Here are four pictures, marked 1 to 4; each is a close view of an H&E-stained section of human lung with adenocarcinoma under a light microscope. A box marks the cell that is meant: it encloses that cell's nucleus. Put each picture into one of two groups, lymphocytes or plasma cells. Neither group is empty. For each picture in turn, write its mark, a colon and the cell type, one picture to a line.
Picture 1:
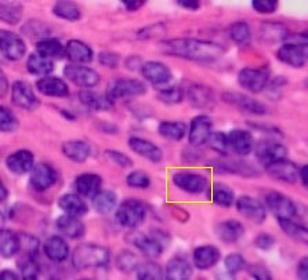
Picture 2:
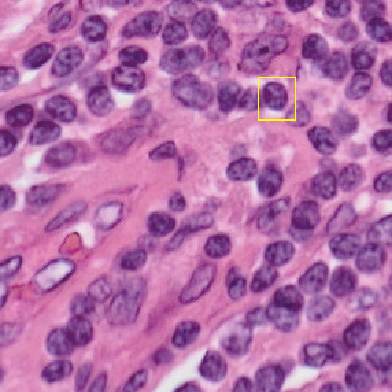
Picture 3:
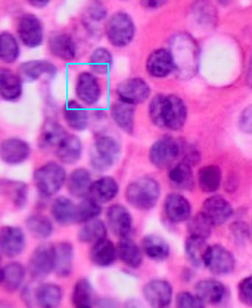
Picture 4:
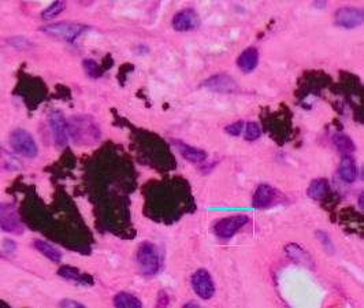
1: lymphocyte
2: lymphocyte
3: lymphocyte
4: plasma cell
